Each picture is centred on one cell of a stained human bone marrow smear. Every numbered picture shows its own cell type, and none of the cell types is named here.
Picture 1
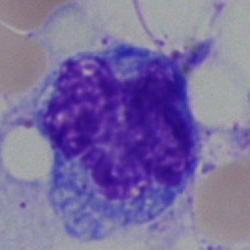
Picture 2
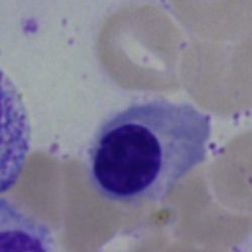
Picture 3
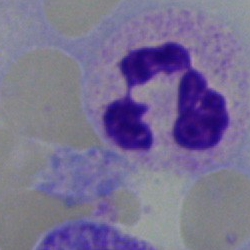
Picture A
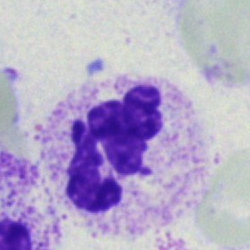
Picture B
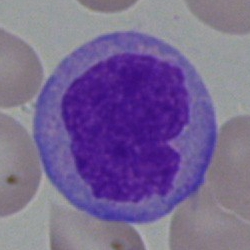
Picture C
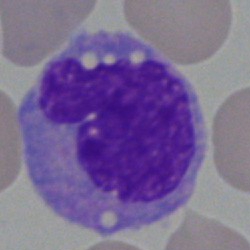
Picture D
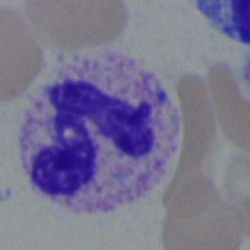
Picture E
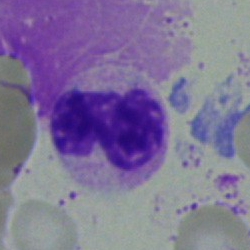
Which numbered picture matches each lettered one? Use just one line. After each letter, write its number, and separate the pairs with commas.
A 3, B 1, C 1, D 3, E 3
